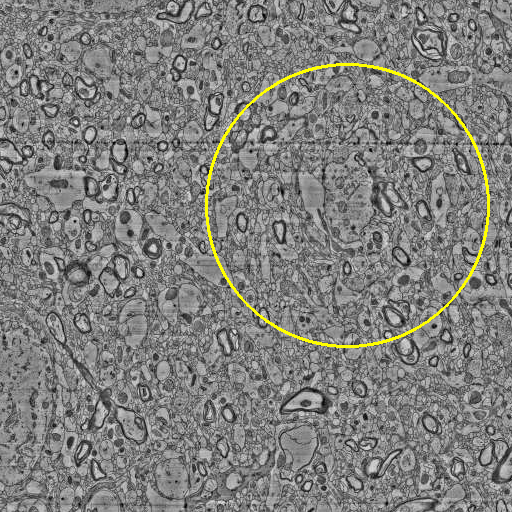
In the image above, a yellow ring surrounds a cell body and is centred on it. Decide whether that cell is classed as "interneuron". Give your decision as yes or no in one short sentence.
Yes, it is classed as that kind.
